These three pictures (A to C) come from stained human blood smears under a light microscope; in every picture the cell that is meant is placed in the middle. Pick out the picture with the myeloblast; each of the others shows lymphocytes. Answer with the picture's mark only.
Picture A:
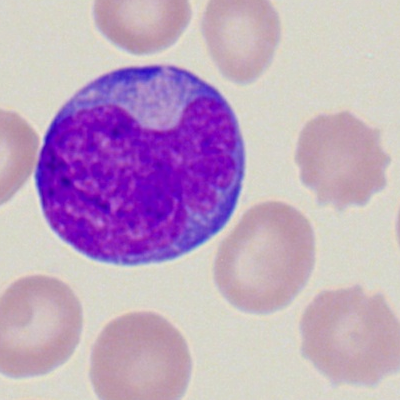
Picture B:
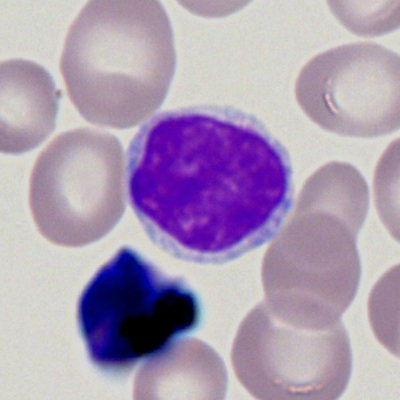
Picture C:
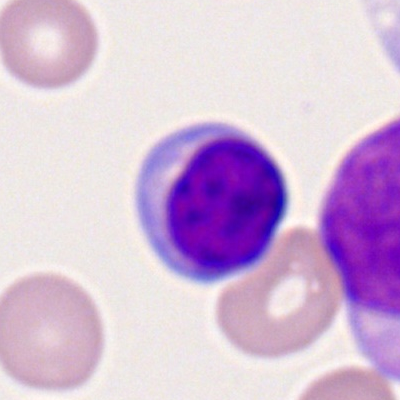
A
